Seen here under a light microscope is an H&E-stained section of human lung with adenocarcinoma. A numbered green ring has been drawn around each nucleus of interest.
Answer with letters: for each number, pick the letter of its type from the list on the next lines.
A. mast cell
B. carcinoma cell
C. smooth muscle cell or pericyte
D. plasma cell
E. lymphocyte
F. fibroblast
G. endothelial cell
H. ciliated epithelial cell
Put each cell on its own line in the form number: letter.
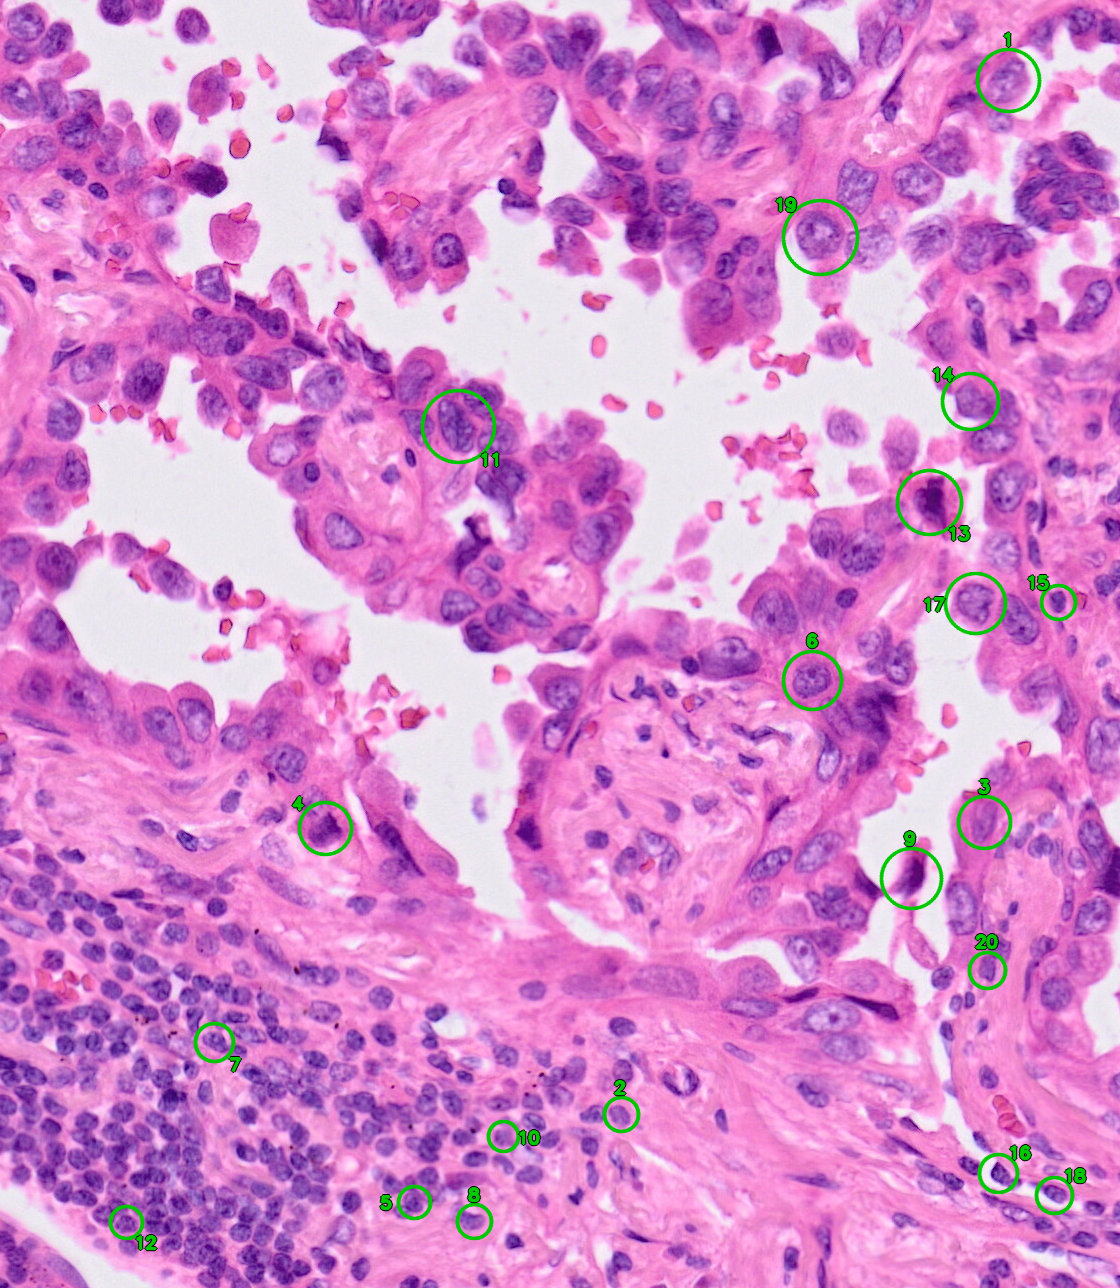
1: B
2: E
3: B
4: B
5: E
6: B
7: E
8: E
9: B
10: E
11: B
12: E
13: B
14: B
15: E
16: E
17: B
18: E
19: B
20: E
